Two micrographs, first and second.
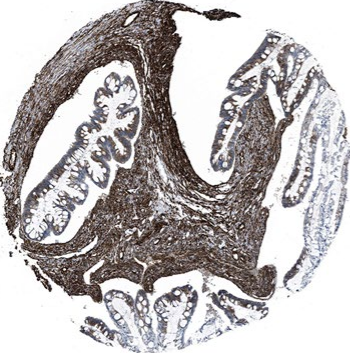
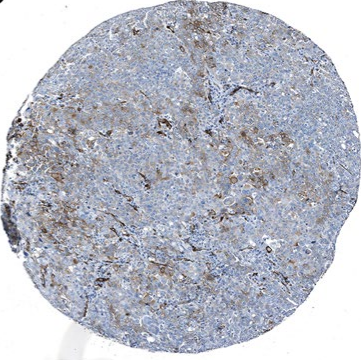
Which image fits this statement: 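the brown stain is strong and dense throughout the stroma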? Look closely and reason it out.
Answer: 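Second image: mostly blue tissue with patchy light to moderate brown stain. First image: stroma is stained very dark brown throughout.
Answer: the first image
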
